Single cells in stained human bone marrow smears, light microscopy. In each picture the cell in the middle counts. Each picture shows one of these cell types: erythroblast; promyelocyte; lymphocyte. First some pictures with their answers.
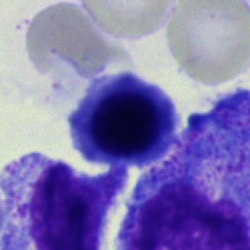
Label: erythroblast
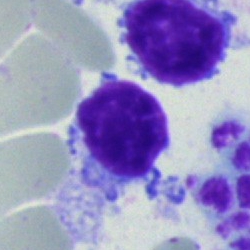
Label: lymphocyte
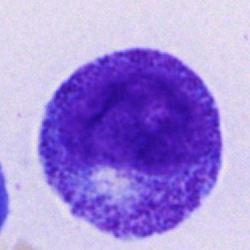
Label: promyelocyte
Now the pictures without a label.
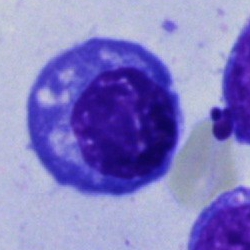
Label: erythroblast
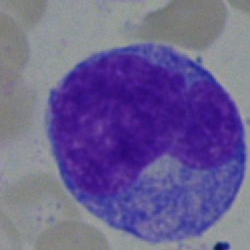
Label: promyelocyte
